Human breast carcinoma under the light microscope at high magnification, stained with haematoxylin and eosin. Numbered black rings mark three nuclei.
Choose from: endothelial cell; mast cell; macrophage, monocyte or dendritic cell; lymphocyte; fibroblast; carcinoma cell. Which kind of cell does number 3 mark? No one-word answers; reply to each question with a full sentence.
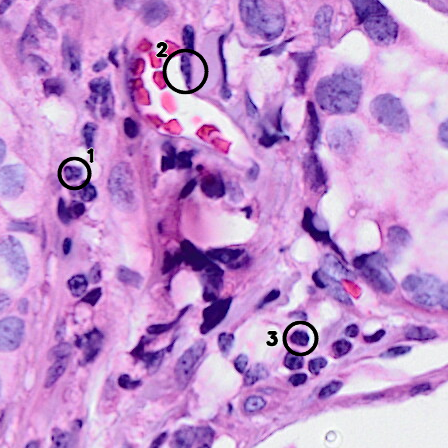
In the marked set, the cell given number 3 is a lymphocyte.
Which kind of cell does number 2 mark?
The cell with the number 2 is an endothelial cell.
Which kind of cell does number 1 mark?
The marked nucleus 1 is that of a lymphocyte.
